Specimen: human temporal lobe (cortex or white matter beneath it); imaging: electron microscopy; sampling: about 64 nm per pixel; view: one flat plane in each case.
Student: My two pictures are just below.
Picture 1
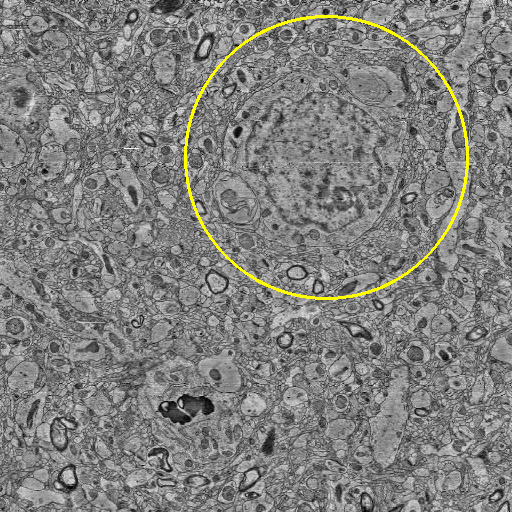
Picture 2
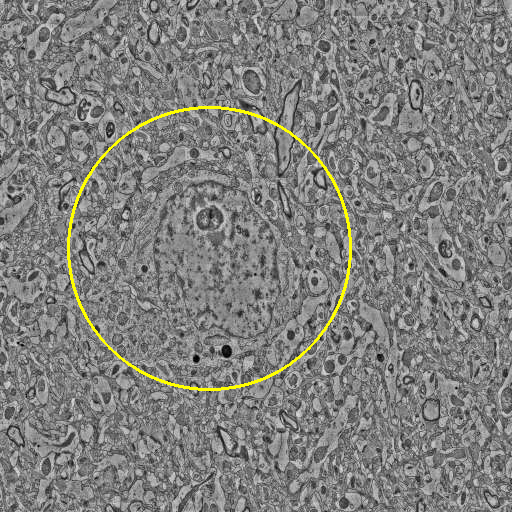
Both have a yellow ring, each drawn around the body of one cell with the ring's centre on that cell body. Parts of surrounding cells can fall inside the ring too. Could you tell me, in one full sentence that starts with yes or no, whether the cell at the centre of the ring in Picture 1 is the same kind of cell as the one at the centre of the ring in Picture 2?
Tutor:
Yes, the two cells are of the same kind.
